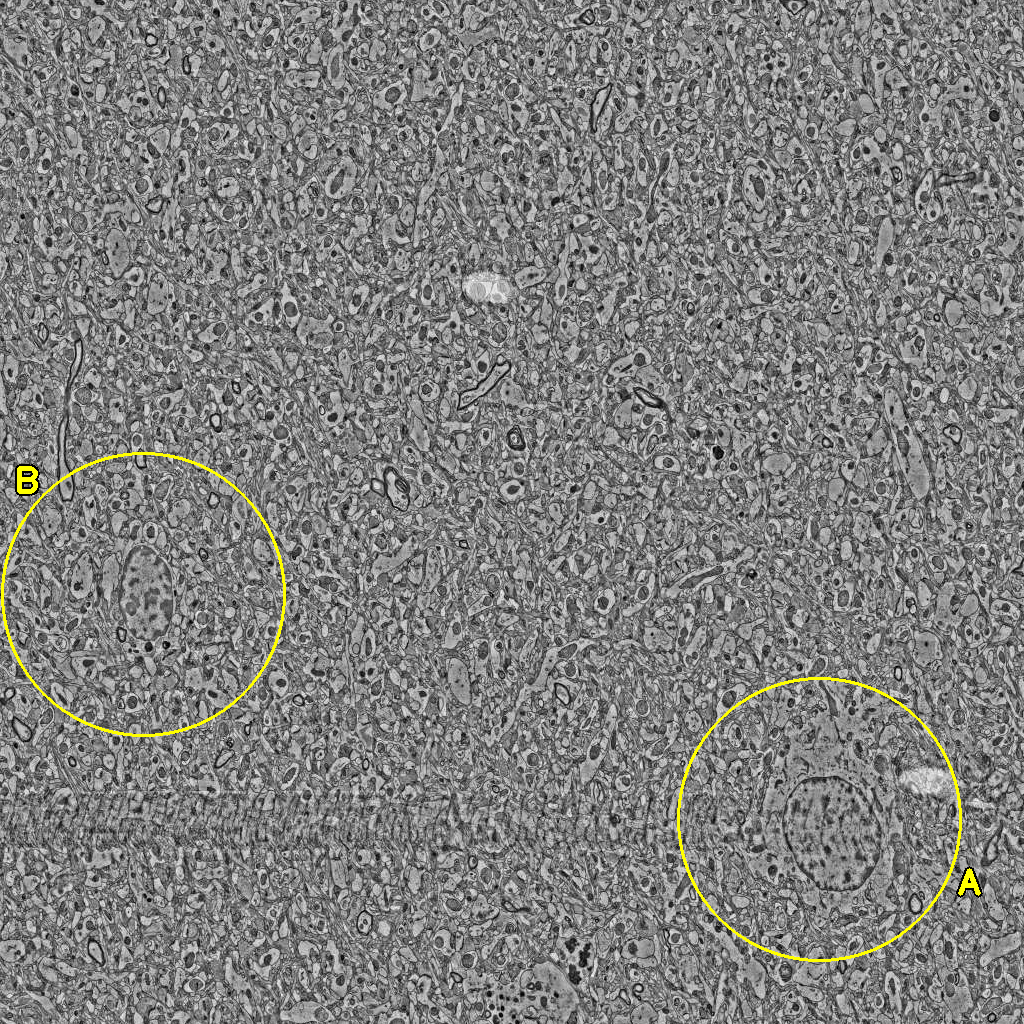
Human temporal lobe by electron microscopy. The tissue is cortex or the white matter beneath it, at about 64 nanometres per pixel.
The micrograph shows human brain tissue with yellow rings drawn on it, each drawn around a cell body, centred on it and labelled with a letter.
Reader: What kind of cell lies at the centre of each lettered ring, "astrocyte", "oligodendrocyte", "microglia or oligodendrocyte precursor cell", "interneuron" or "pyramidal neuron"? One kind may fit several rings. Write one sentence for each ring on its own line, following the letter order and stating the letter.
At the centre of ring A lies an astrocyte.
At the centre of ring B lies a microglial cell or oligodendrocyte precursor cell.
